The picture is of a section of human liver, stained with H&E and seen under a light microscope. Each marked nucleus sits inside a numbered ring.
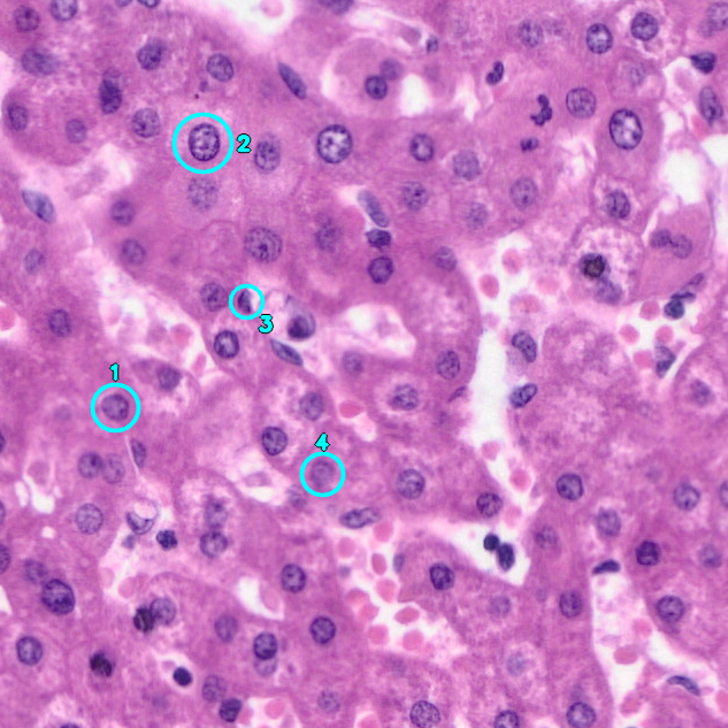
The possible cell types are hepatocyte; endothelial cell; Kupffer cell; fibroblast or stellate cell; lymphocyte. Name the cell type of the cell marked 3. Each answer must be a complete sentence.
The numbered cell 3 is identified here as a fibroblast or stellate cell.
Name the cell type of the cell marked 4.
The cell that goes by number 4 is a hepatocyte.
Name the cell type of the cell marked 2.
The nucleus with number 2 is that of a hepatocyte.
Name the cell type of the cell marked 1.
Corresponding to a hepatocyte is the cell labelled 1.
